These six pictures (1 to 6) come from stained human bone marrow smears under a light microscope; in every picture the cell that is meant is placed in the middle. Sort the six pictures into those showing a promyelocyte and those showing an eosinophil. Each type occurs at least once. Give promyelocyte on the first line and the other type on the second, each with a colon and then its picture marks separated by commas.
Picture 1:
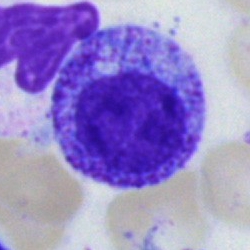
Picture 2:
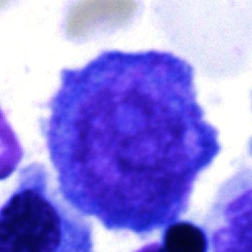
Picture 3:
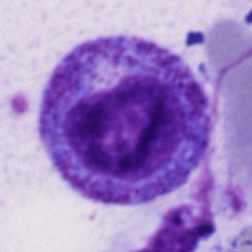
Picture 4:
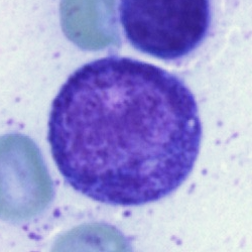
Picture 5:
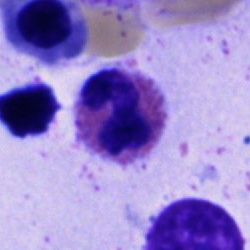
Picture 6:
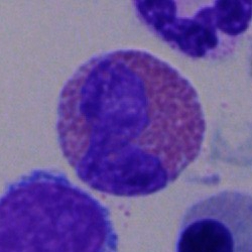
promyelocyte: 1, 2, 3, 4
eosinophil: 5, 6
